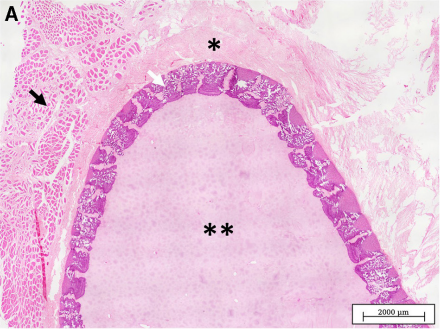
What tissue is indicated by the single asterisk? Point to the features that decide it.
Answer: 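Pale pink fibrous band lying directly outside the dark purple arched layer. Lies between the dark layer and the outer tissues. That points to this answer: perichondrium.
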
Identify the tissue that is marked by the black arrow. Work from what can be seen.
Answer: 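Muscle layer. Bundles of pink fibres cut in cross section at the outer left edge. Fibres are separated into fascicles by thin pale septa.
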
